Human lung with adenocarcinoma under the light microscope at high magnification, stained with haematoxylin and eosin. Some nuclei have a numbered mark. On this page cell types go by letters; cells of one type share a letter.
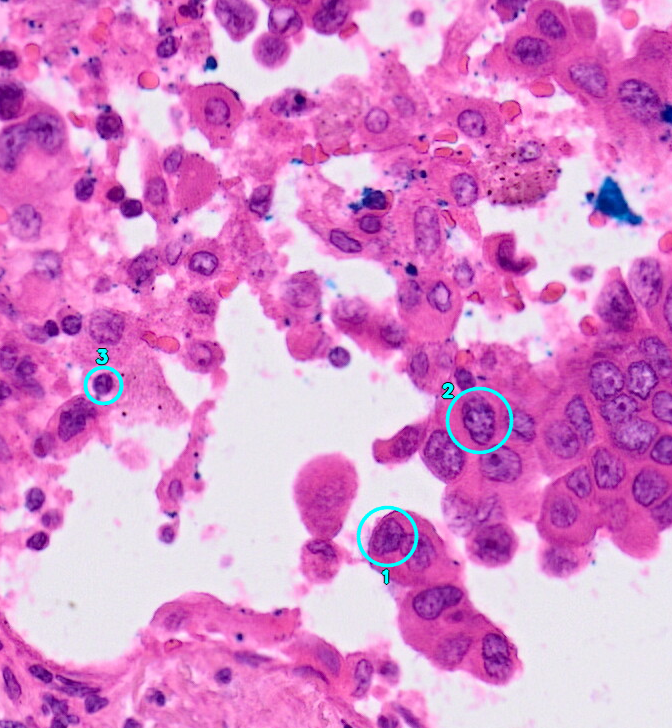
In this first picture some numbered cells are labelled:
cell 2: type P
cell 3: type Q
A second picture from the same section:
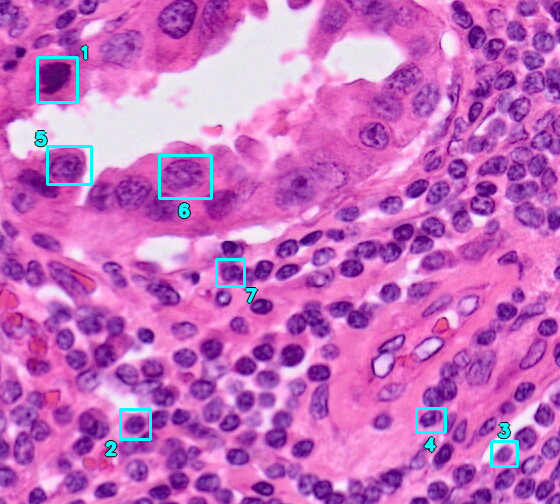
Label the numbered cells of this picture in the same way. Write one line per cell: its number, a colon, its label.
1: type P
2: type Q
3: type Q
4: type Q
5: type P
6: type P
7: type Q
